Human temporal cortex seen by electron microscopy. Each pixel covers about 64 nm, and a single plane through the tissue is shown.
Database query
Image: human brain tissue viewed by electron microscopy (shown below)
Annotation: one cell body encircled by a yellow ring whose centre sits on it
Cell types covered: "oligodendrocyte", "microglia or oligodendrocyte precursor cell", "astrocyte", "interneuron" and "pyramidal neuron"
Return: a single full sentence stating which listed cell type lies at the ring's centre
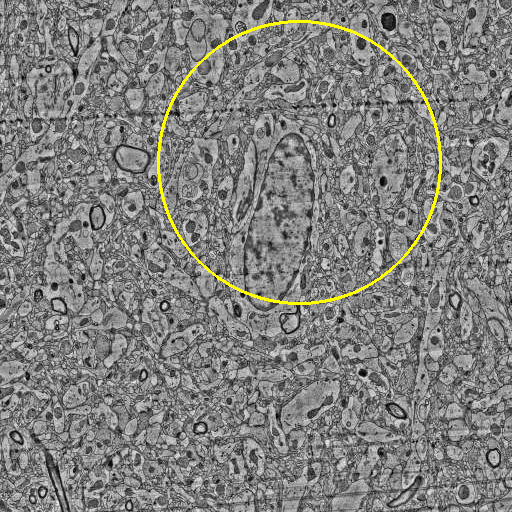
In the image, the cell lying at the ring's centre is a microglial cell or oligodendrocyte precursor cell.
